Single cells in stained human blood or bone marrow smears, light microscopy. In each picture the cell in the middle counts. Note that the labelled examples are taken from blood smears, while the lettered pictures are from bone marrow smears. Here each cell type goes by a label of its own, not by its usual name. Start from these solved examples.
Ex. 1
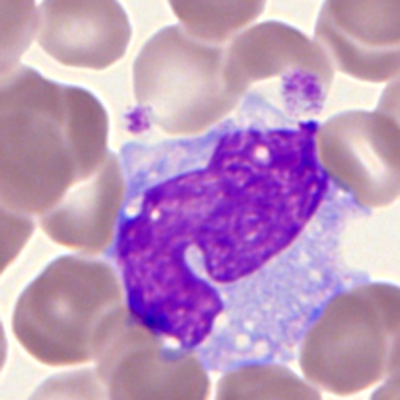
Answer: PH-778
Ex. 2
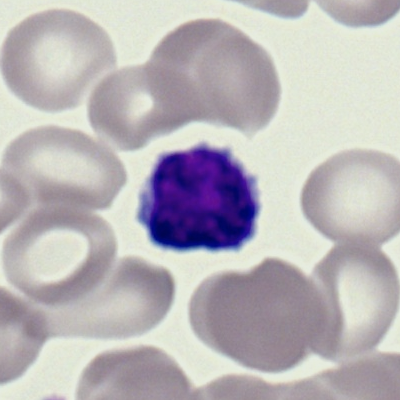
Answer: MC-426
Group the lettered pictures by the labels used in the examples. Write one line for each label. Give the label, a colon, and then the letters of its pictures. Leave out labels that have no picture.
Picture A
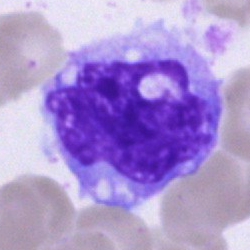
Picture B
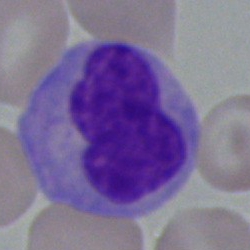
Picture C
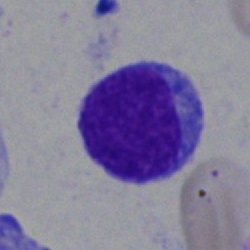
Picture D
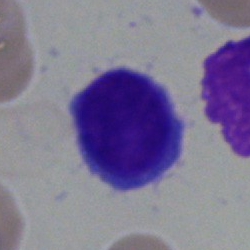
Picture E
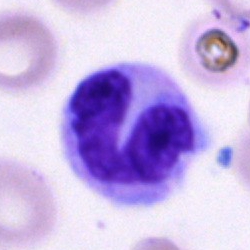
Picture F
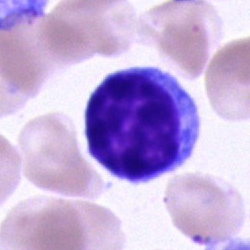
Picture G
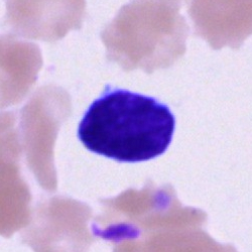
PH-778: A, B, E
MC-426: C, D, F, G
